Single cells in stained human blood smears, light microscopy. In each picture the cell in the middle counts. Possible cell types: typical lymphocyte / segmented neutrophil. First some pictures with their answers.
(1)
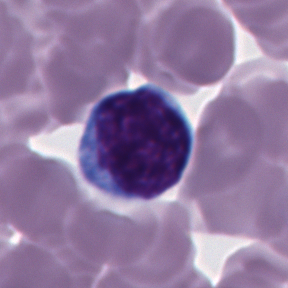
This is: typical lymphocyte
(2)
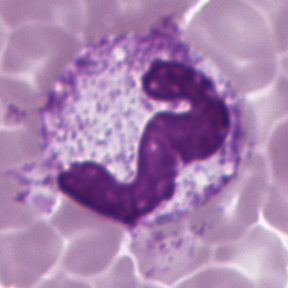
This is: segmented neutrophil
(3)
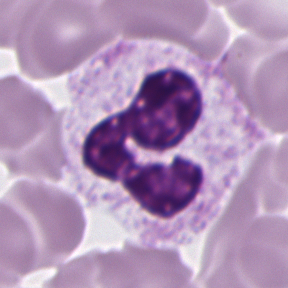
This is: segmented neutrophil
